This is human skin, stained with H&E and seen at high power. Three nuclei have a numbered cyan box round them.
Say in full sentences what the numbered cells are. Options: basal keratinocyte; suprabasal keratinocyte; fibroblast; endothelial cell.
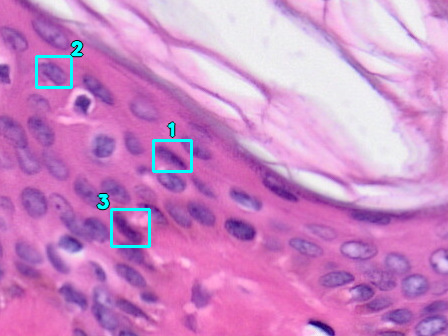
Cell 1 is a suprabasal keratinocyte, cell 2 is a suprabasal keratinocyte and cell 3 is a basal keratinocyte.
